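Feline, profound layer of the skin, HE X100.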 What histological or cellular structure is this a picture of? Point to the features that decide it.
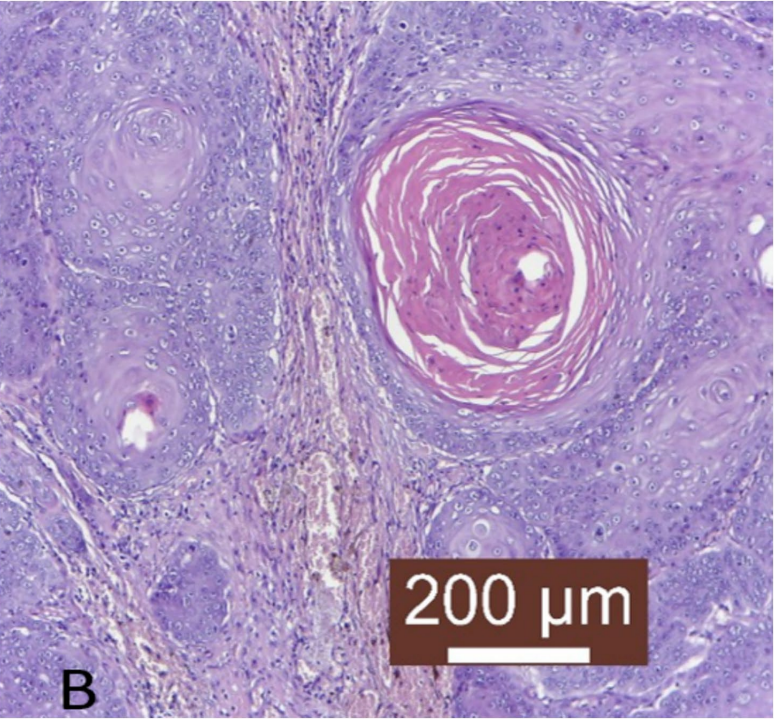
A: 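A large rounded nest of epithelial cells has a central mass of concentrically layered, bright pink material. Smaller rounded epithelial nests with pale pink whorled centres lie nearby. A band of fibrous stroma with spindle-shaped cells separates the nests. So: Tumor islet with high keratin content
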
